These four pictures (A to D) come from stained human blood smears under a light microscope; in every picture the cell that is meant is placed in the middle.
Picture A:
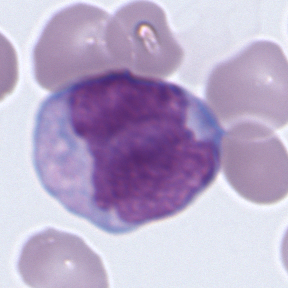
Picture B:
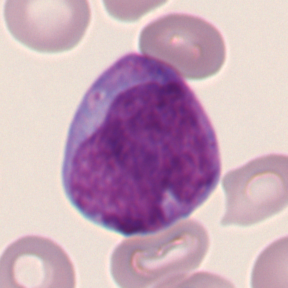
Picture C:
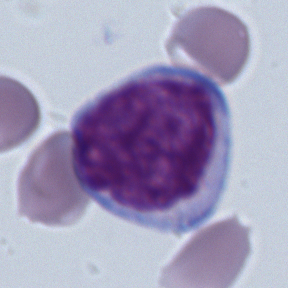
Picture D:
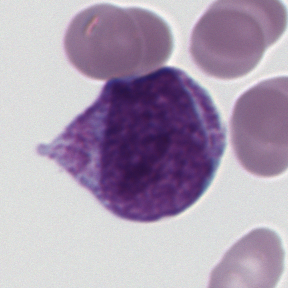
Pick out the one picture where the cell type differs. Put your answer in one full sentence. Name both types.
Unlike the rest, which show atypical promyelocytes, picture C shows a myeloblast.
